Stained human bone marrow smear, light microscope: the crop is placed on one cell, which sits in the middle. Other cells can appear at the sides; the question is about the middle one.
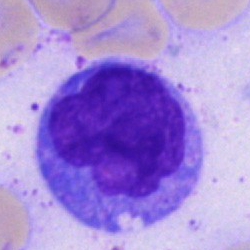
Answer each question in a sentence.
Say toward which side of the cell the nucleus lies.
The nucleus sits off-centre, toward the top.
